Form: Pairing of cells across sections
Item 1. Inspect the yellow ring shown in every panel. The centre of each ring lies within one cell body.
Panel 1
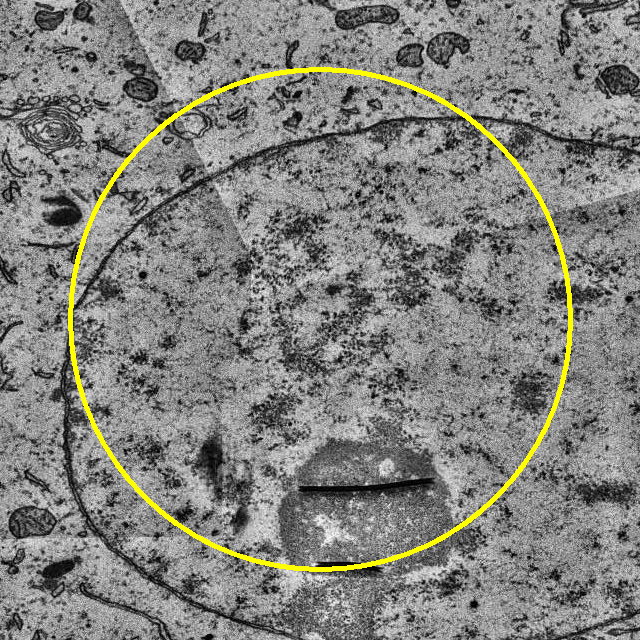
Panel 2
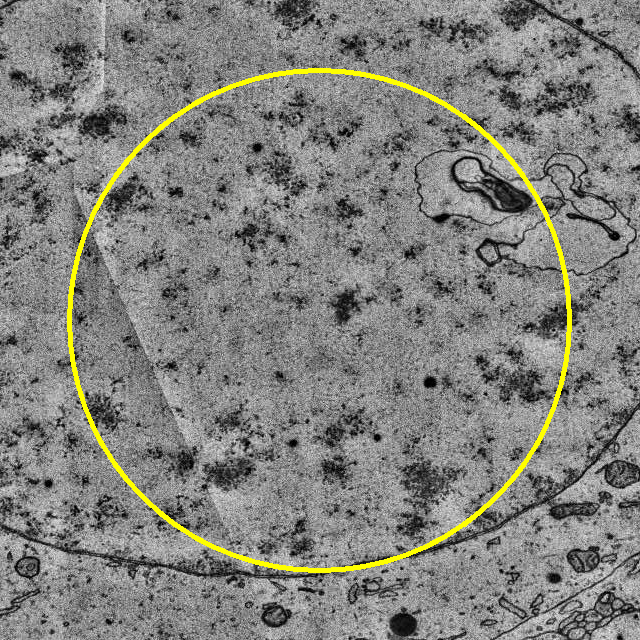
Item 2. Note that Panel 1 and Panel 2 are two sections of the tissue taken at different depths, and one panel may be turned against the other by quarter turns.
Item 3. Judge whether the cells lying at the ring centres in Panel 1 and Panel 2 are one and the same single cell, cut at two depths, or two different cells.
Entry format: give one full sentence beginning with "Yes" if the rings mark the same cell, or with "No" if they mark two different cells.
Yes, both yellow rings mark one and the same cell.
